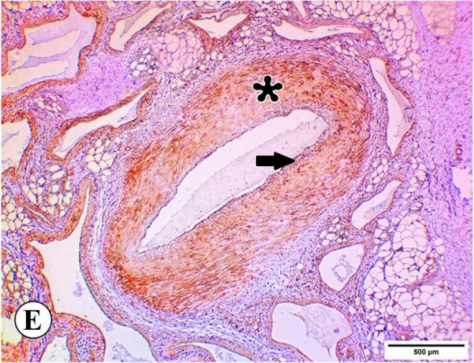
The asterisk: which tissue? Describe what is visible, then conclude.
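The asterisk lies in the thick brown-stained muscular wall around an elongated lumen. The wall is built of concentric layers of elongated cells.
Tunica media.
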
